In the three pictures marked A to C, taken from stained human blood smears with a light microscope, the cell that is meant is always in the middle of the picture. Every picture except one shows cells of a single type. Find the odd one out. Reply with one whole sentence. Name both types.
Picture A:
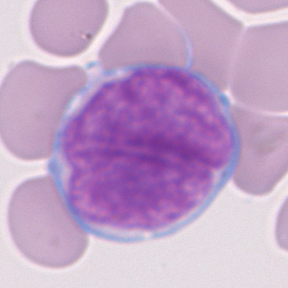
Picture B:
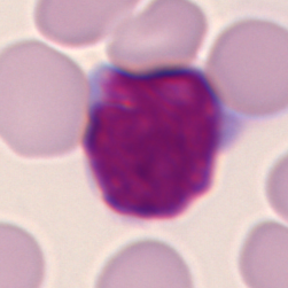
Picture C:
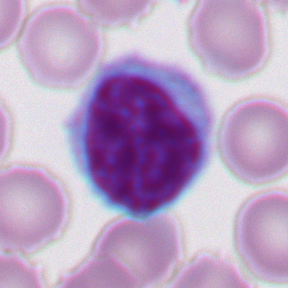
The others show typical lymphocytes, but picture A shows a myeloblast.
